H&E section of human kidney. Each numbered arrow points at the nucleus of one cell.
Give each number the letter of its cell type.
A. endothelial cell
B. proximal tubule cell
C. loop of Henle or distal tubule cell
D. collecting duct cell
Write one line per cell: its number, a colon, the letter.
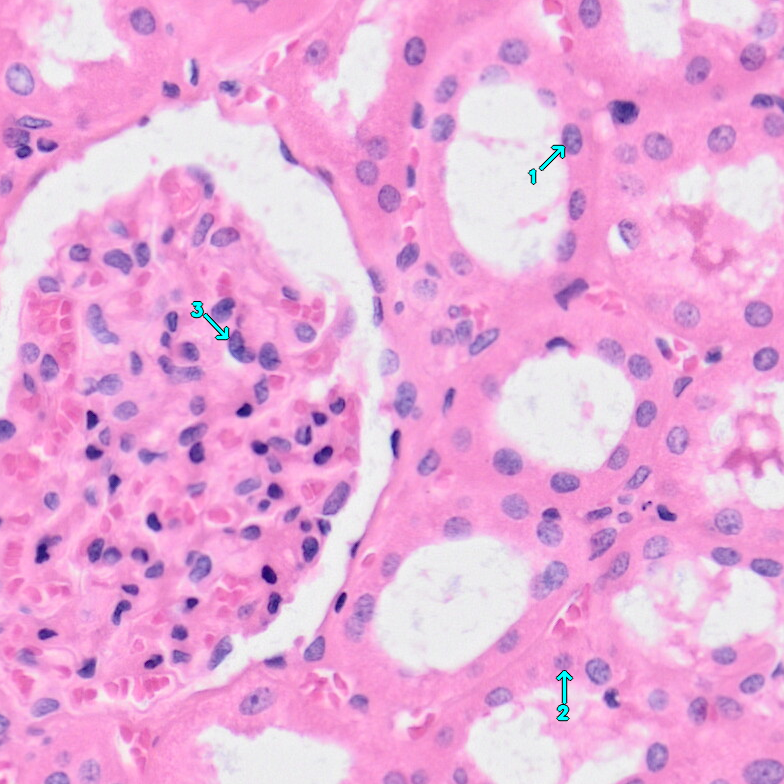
1: C
2: C
3: A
